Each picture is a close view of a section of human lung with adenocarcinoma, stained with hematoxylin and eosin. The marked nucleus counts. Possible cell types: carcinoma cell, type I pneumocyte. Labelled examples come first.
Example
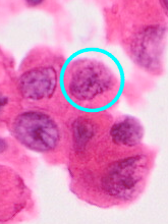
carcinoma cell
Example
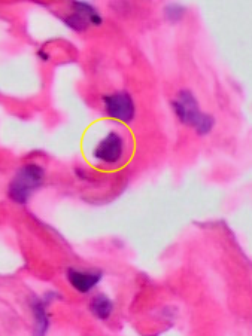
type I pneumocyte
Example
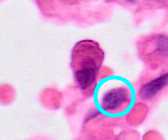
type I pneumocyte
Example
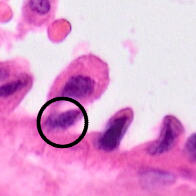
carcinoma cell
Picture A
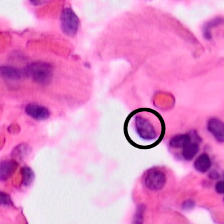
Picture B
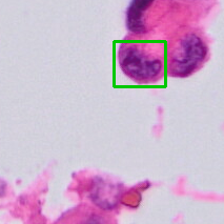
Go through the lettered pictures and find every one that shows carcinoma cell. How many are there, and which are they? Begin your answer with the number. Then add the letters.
1: B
